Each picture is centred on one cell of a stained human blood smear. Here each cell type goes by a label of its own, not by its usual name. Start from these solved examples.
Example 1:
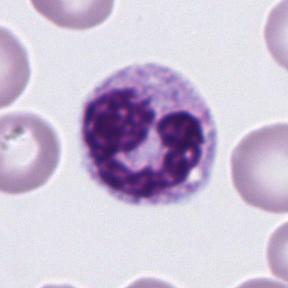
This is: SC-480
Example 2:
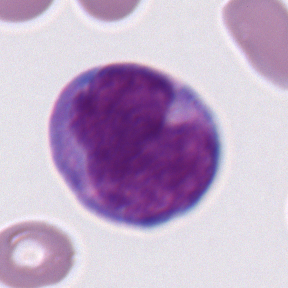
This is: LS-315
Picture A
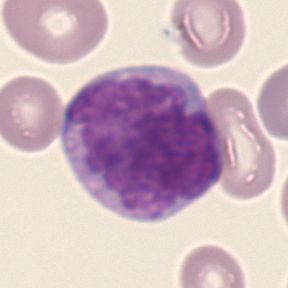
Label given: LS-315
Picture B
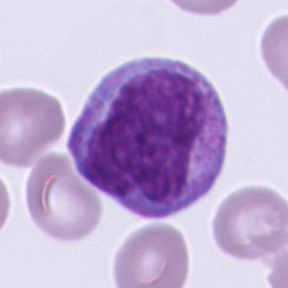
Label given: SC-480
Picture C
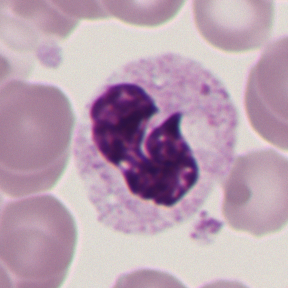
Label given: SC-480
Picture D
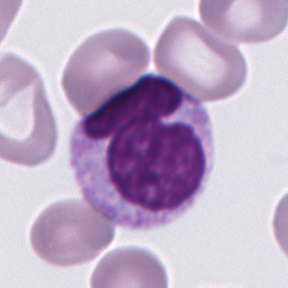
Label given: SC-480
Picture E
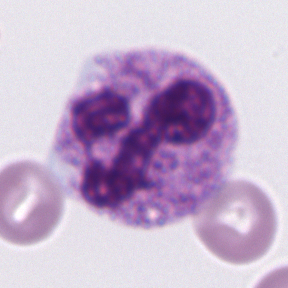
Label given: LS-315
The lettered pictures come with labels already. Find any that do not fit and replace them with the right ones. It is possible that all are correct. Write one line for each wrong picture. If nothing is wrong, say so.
Wrong: B (SC-480); correct: LS-315
Wrong: E (LS-315); correct: SC-480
